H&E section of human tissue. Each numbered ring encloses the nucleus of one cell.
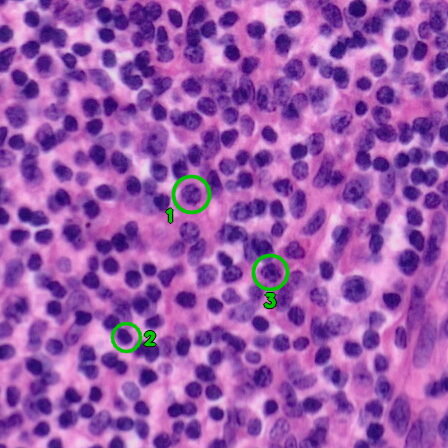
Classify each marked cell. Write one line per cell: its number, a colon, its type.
1: plasma cell
2: small lymphocyte
3: plasma cell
